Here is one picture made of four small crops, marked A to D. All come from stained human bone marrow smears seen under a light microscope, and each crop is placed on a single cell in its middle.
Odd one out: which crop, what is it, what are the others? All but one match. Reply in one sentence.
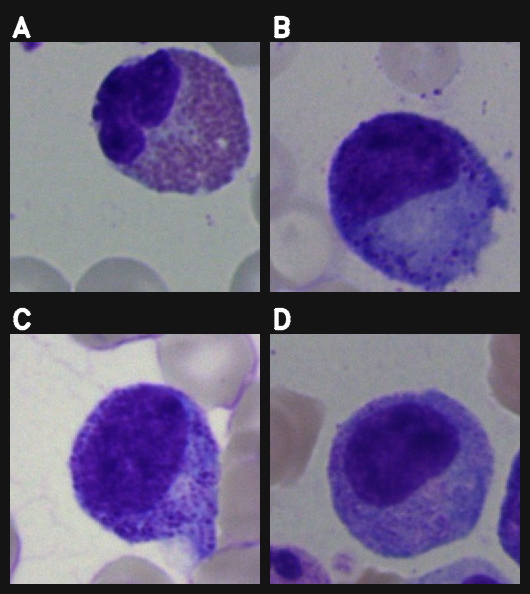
Unlike the other crops, all showing myelocytes, crop A is an eosinophil.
